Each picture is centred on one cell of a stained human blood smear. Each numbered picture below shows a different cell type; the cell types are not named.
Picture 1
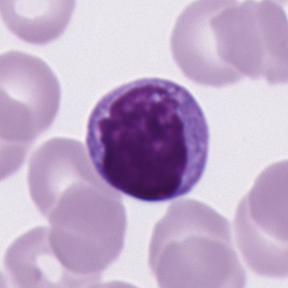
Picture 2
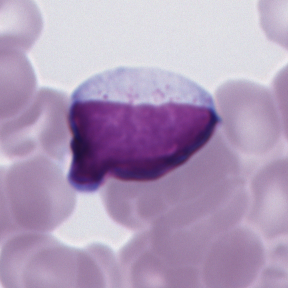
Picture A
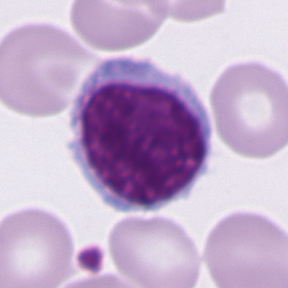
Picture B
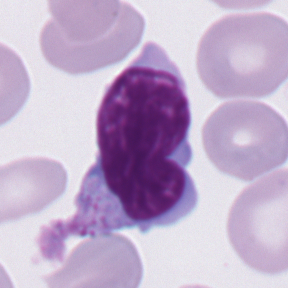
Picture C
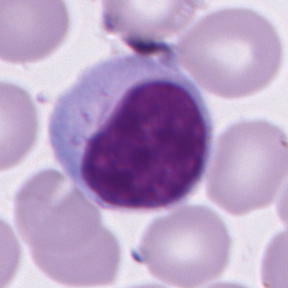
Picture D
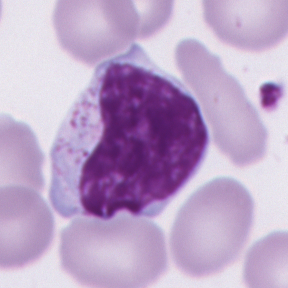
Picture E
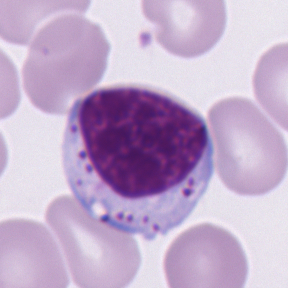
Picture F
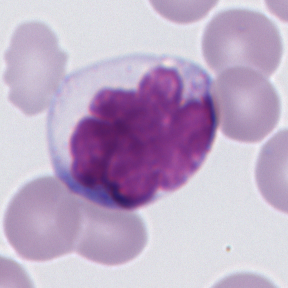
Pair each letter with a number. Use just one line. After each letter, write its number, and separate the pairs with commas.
A 1, B 2, C 2, D 2, E 2, F 2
